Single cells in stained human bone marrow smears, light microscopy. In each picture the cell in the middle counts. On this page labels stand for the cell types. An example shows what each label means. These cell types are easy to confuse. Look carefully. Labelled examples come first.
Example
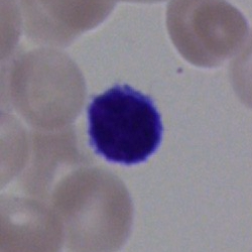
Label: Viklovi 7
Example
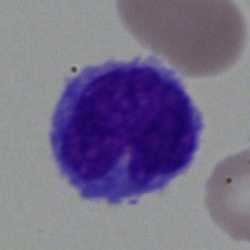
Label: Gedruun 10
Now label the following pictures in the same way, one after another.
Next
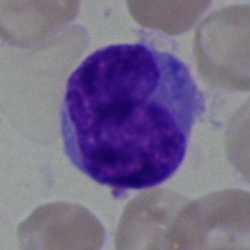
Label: Gedruun 10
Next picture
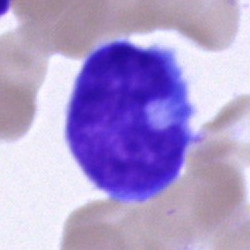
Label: Gedruun 10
